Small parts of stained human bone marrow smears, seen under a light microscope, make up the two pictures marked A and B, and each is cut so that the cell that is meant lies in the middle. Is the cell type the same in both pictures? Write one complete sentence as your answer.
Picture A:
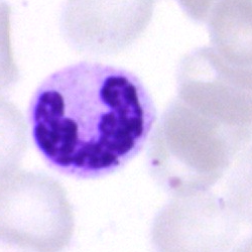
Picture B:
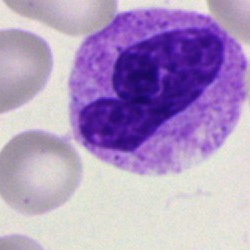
Yes, they are the same type: both are segmented neutrophils.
